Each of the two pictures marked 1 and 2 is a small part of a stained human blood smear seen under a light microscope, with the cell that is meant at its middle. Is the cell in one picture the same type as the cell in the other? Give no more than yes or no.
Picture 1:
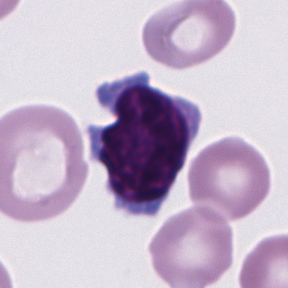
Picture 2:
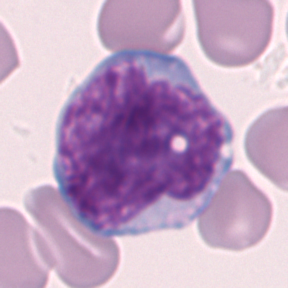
no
